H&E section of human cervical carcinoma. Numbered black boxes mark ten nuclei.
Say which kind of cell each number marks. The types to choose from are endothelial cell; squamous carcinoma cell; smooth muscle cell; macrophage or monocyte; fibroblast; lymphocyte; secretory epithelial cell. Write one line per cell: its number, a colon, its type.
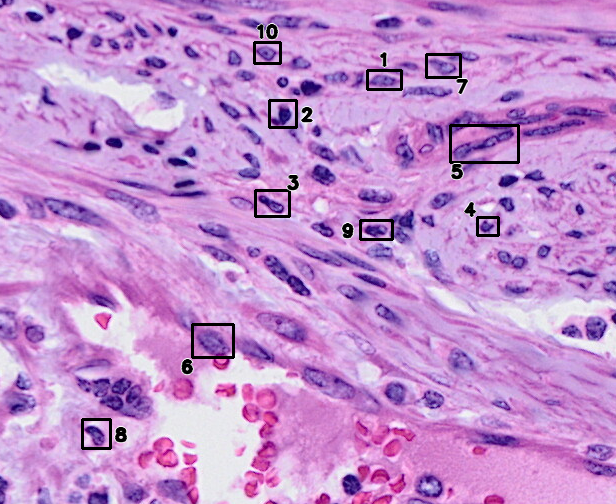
1: smooth muscle cell
2: lymphocyte
3: lymphocyte
4: smooth muscle cell
5: endothelial cell
6: endothelial cell
7: smooth muscle cell
8: lymphocyte
9: lymphocyte
10: smooth muscle cell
